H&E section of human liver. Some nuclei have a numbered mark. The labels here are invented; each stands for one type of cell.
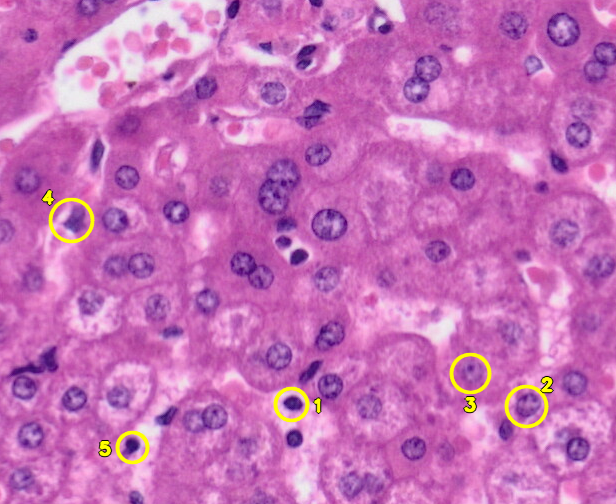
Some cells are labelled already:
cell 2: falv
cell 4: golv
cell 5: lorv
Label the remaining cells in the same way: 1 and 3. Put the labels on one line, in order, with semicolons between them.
lorv; falv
